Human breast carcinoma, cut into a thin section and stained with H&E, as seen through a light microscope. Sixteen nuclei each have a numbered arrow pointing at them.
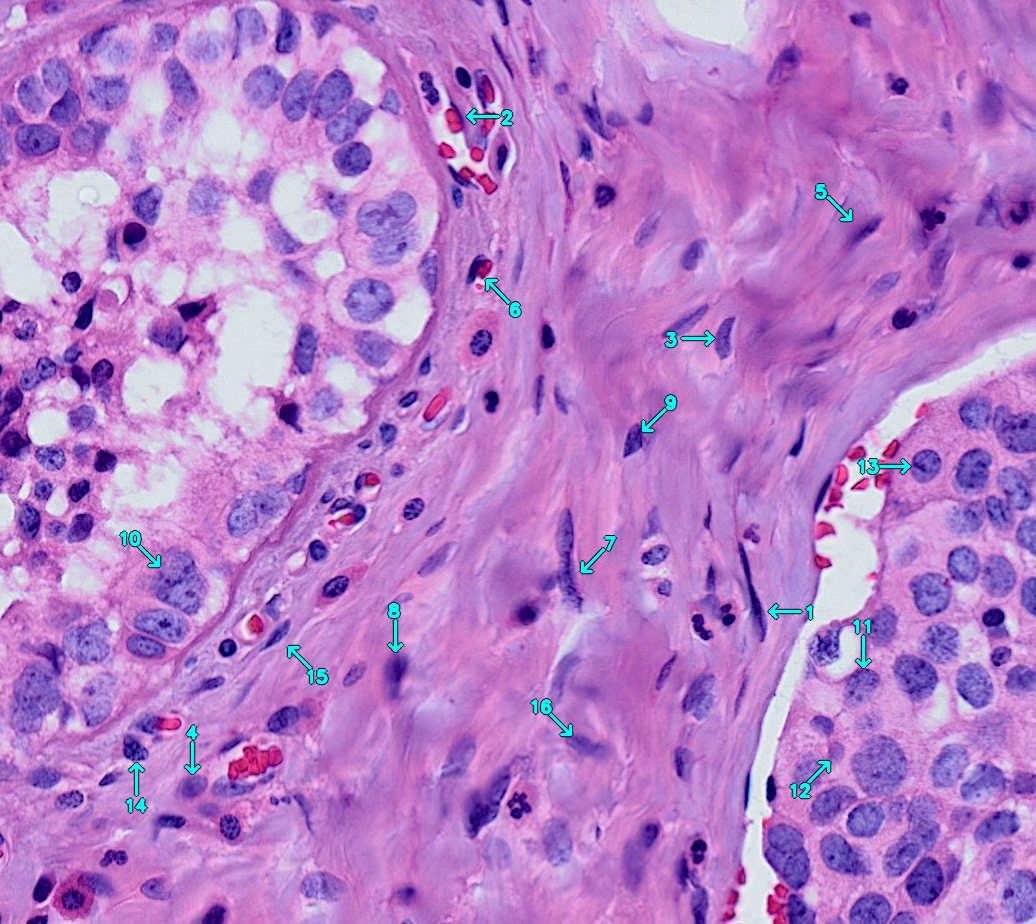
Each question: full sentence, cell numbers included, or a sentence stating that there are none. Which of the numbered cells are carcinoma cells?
In short, the numbered cells 10, 11, 12 and 13 are carcinoma cells.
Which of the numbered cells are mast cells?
Just the cell marked 14 is a mast cell; none of the other marked cells is.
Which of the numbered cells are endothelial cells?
The cells marked 2, 4 and 6 in the section are endothelial cells.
